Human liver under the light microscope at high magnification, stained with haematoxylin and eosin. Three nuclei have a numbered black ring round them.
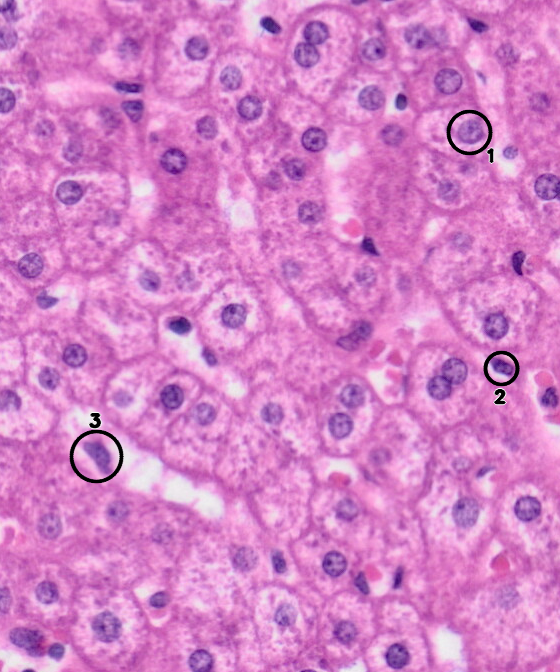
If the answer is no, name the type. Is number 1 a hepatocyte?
Yes.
